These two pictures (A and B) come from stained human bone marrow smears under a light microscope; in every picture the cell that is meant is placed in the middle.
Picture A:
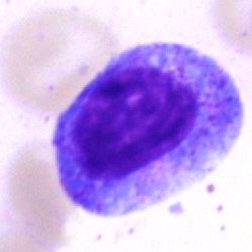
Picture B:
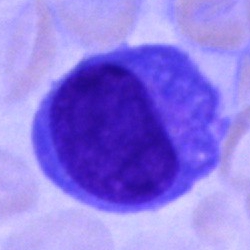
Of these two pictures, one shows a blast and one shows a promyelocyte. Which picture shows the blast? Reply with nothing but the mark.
B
